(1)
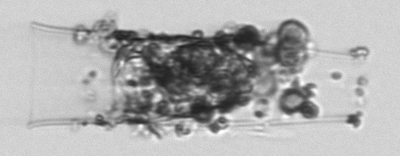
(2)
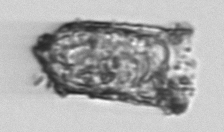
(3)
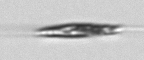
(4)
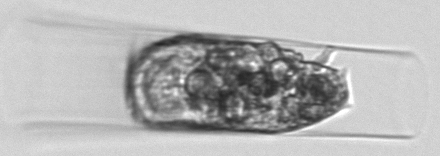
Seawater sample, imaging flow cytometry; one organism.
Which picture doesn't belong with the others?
Picture 3.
